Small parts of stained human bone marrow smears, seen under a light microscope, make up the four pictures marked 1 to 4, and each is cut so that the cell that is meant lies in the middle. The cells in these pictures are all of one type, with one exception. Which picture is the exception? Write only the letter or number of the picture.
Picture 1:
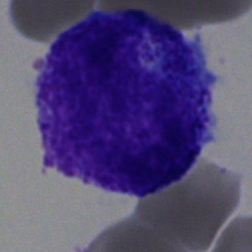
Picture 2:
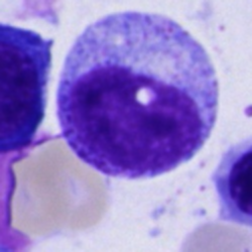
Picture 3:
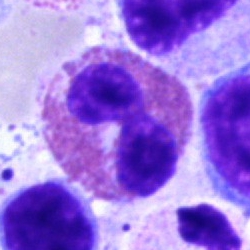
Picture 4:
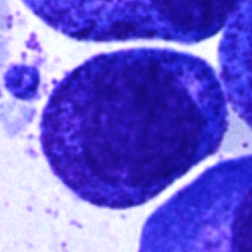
3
